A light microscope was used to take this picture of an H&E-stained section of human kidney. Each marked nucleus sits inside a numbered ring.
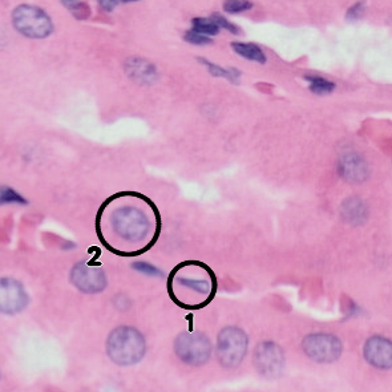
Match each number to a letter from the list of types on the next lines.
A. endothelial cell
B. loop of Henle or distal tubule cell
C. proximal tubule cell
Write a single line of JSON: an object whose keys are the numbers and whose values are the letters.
{"1": "A", "2": "C"}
